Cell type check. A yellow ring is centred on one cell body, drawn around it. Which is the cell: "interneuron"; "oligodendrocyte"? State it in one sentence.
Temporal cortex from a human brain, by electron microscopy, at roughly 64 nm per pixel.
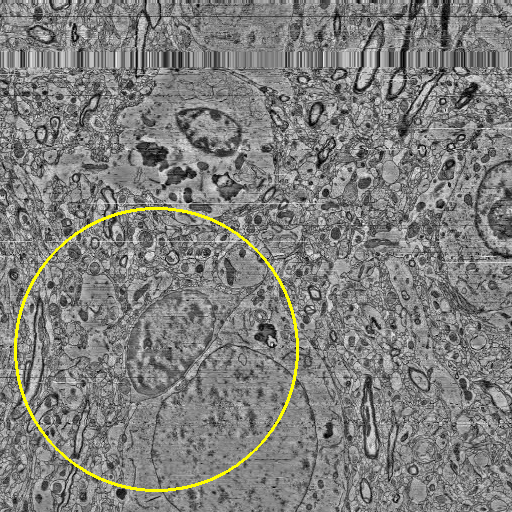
The cell body at the ring's centre belongs to an oligodendrocyte.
